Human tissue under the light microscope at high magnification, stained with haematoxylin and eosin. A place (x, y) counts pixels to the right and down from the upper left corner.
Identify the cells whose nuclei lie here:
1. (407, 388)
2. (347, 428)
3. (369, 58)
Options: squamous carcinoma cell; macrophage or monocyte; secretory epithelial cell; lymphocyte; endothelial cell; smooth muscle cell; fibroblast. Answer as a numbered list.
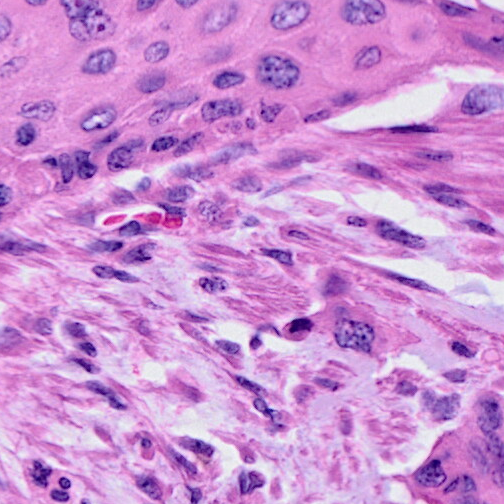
1. fibroblast
2. fibroblast
3. squamous carcinoma cell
